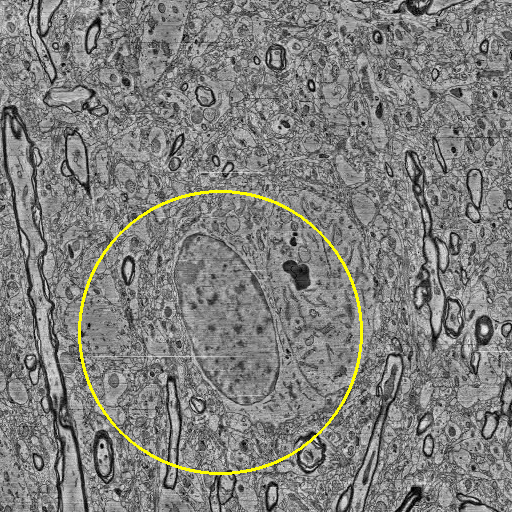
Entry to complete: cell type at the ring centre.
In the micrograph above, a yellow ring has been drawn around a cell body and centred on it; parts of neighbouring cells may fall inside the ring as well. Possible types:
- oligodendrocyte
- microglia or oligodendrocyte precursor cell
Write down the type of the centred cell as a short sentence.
The ring is centred on a microglial cell or oligodendrocyte precursor cell.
